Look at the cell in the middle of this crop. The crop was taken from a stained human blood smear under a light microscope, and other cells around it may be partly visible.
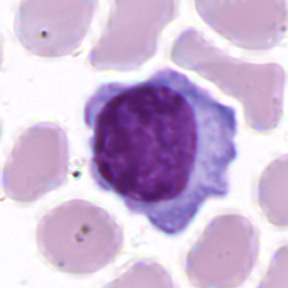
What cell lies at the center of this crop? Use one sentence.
At the center of the crop sits a plasma cell.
